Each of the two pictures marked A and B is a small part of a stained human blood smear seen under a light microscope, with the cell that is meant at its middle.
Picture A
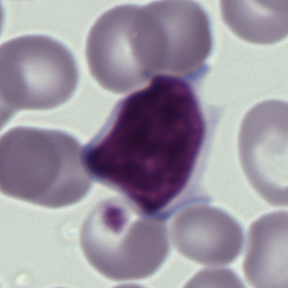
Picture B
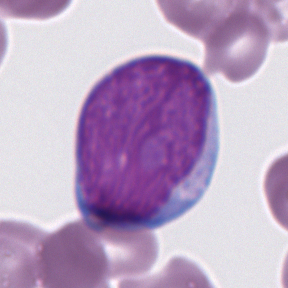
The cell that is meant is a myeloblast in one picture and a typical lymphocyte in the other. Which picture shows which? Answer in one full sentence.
Picture B shows a myeloblast, while picture A shows a typical lymphocyte.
